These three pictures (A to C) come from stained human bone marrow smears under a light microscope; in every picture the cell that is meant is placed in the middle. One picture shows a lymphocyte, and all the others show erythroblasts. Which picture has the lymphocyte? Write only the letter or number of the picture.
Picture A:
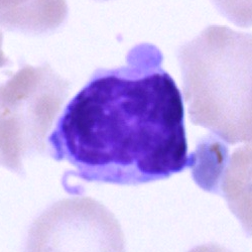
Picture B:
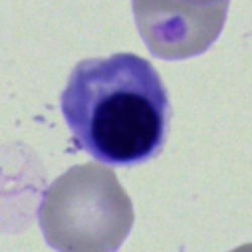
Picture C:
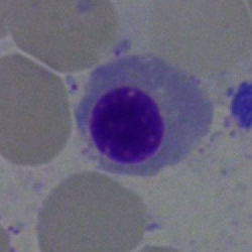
A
